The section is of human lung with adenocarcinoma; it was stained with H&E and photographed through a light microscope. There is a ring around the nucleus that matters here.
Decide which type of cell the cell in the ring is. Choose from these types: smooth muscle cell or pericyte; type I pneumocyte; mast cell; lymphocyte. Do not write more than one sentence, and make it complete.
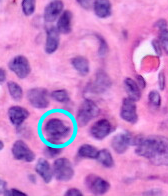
In cellular terms, the cell in the ring is a lymphocyte.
